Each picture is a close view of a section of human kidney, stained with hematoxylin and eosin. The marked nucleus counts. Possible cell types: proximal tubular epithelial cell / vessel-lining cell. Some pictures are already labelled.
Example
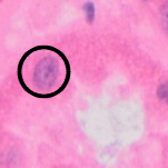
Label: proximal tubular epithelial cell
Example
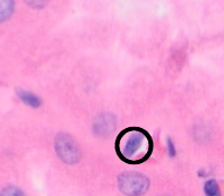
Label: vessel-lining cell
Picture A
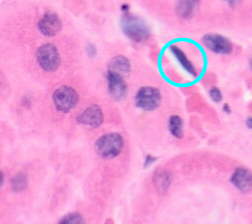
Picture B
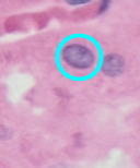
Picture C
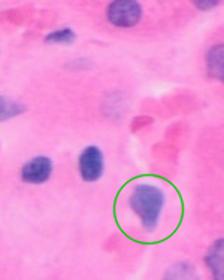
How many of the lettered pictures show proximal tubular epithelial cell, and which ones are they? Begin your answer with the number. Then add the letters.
1: B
